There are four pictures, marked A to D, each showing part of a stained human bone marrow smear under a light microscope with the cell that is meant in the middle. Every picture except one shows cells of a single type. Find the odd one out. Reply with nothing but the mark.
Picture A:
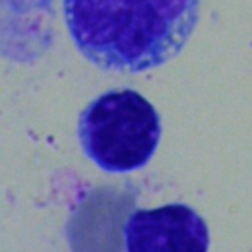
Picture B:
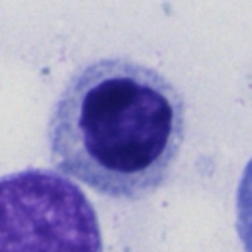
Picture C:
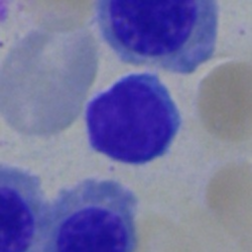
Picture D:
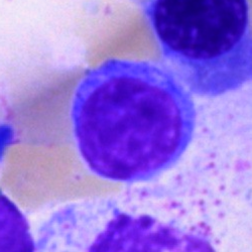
B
